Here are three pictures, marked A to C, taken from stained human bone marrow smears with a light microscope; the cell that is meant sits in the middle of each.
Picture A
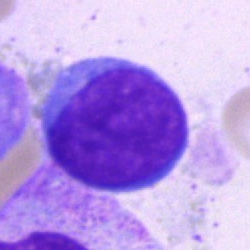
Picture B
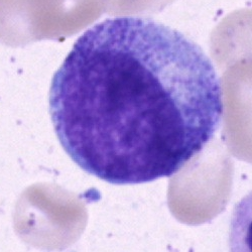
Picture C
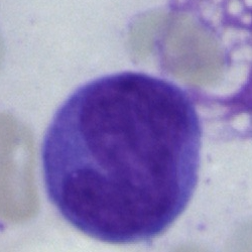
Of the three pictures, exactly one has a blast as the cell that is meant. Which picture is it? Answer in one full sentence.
Picture A is the one that shows the blast.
